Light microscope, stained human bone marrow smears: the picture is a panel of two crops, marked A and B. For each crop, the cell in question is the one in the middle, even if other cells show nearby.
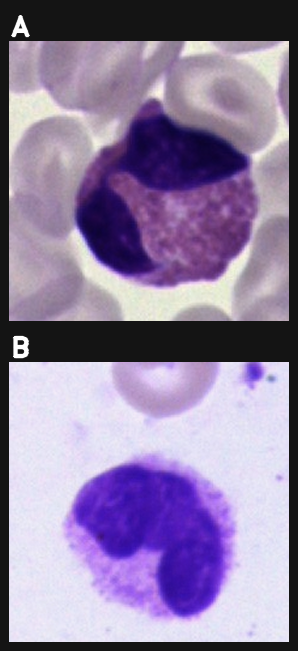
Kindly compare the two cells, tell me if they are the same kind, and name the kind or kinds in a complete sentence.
No, crop A is to be identified as an eosinophil and crop B as a neutrophil.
